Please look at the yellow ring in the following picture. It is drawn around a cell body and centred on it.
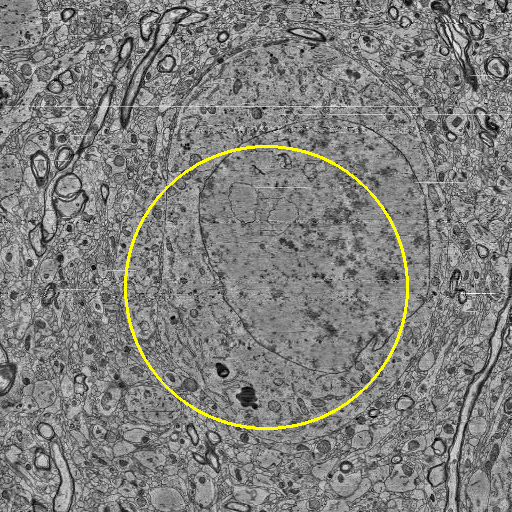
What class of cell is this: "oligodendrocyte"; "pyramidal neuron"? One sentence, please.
The ring surrounds the cell body of a pyramidal neuron.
